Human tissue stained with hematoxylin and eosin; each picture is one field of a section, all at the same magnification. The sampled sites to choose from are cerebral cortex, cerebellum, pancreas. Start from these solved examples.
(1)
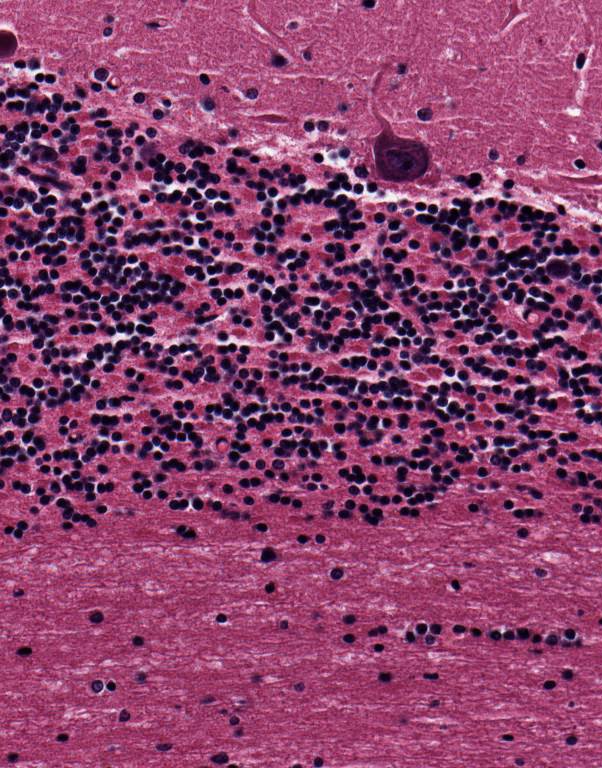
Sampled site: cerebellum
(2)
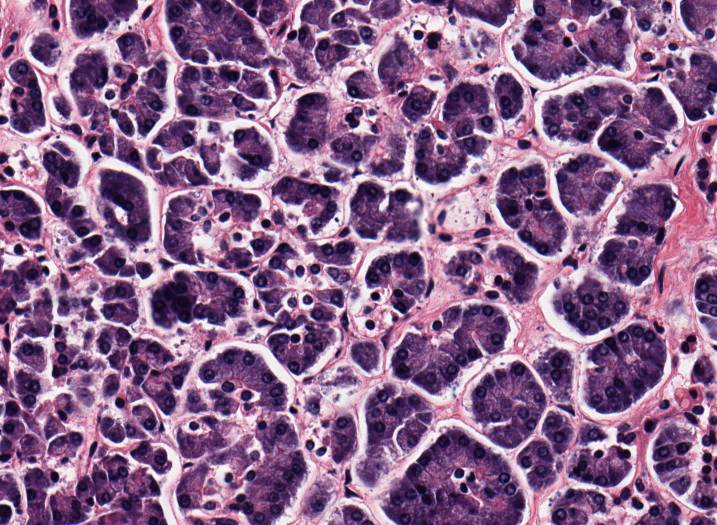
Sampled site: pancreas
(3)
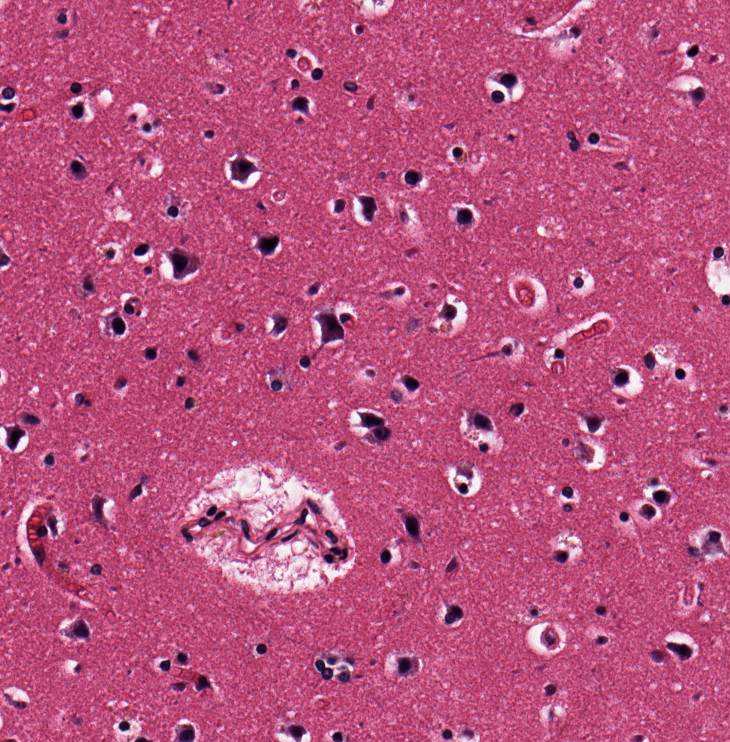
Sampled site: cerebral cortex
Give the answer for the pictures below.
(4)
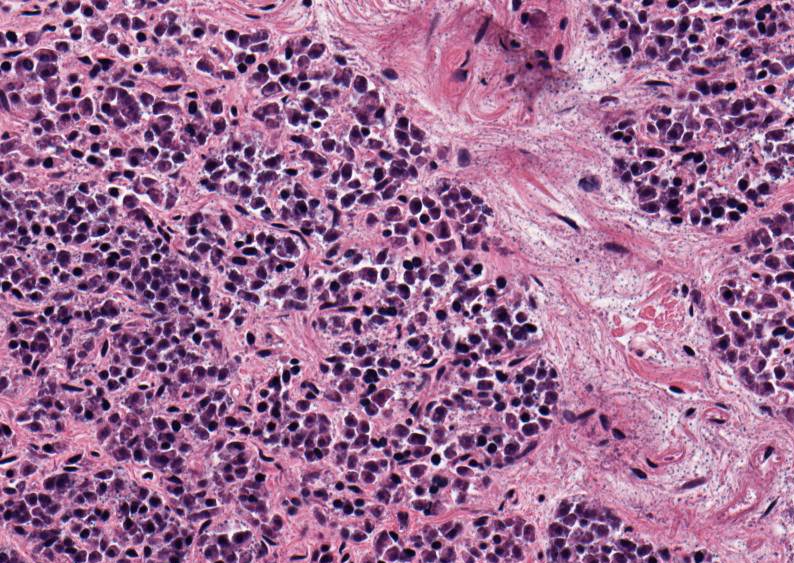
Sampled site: pancreas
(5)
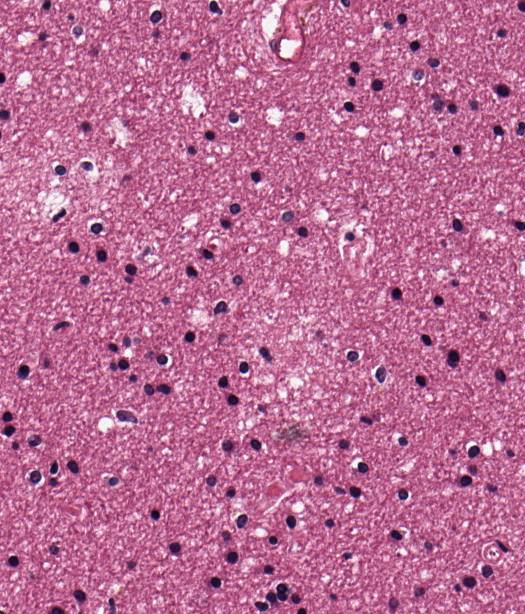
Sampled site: cerebral cortex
